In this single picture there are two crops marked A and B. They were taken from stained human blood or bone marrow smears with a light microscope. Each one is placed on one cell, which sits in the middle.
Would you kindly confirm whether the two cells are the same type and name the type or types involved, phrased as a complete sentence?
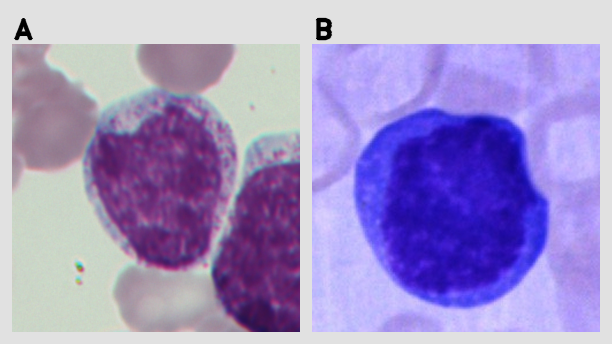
No, crop A shows a myelocyte, whereas in crop B the cell is a blast.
